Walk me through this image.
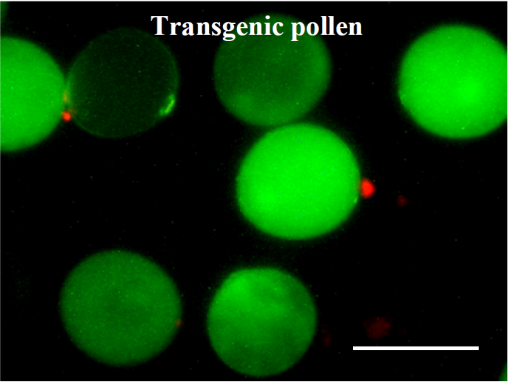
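The fluorescence is fairly even with slightly mottled areas, and the grain edges are smooth and circular. A few small red specks lie at the margins of some grains.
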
